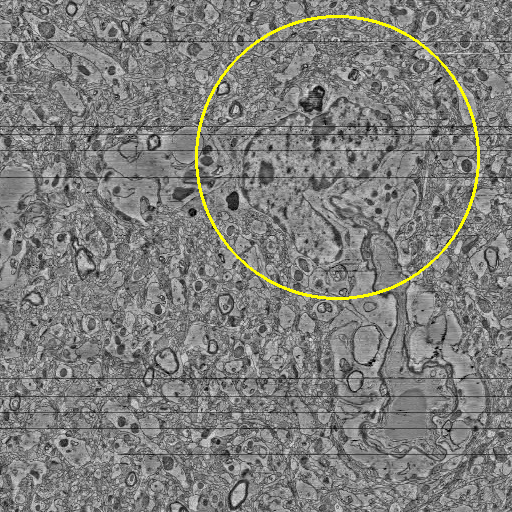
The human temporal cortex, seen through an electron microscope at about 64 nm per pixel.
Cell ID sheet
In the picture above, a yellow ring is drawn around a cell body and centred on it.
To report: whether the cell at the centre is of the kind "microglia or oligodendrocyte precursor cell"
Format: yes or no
yes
